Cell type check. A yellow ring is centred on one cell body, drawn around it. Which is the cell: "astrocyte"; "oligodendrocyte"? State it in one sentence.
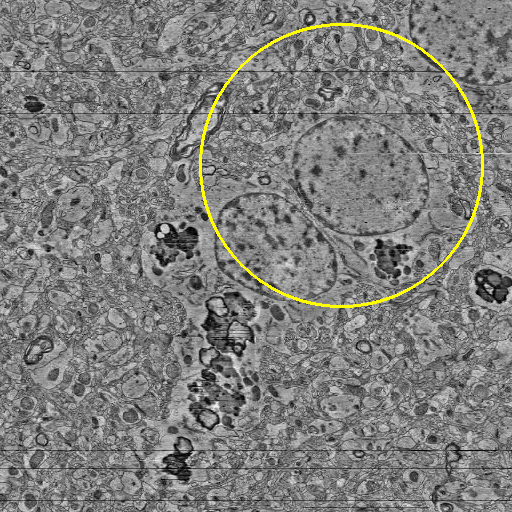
The cell body at the ring's centre belongs to an astrocyte.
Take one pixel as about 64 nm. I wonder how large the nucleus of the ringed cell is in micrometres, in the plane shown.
In this plane the nucleus measures roughly 9 by 8 micrometres.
